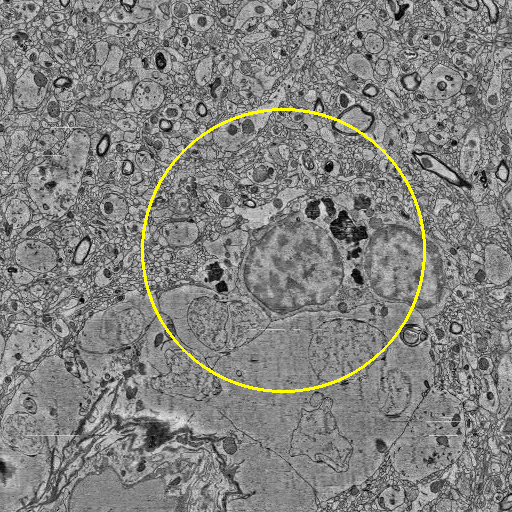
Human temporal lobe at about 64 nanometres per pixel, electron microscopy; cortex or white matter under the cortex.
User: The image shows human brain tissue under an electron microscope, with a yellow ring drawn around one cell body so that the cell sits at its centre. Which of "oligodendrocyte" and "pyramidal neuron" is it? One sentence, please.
At the centre of the ring sits an oligodendrocyte.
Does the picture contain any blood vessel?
Yes, a blood vessel is present in this picture.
